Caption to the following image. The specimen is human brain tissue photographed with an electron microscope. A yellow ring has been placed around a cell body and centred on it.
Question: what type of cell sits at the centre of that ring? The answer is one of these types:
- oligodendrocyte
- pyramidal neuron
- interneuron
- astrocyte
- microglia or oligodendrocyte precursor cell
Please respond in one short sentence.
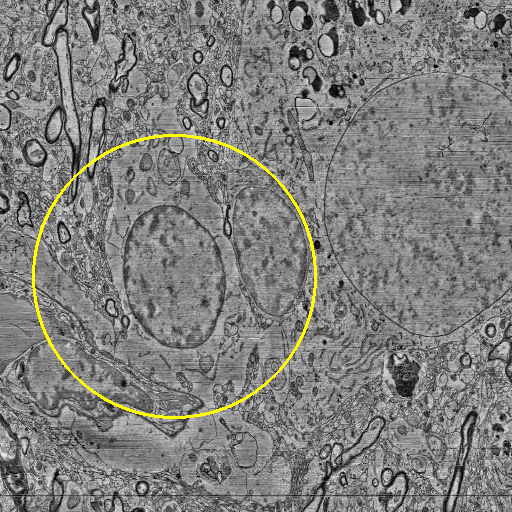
The ring surrounds the cell body of an astrocyte.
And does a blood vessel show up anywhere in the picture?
Yes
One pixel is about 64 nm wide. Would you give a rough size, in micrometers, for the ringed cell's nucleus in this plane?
The nucleus measures about 9 by 6 micrometres in this plane.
